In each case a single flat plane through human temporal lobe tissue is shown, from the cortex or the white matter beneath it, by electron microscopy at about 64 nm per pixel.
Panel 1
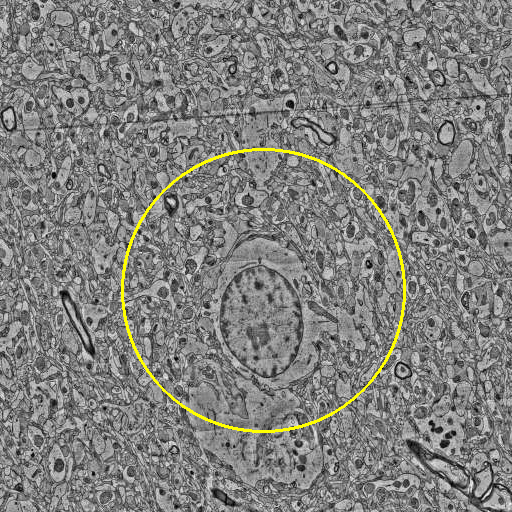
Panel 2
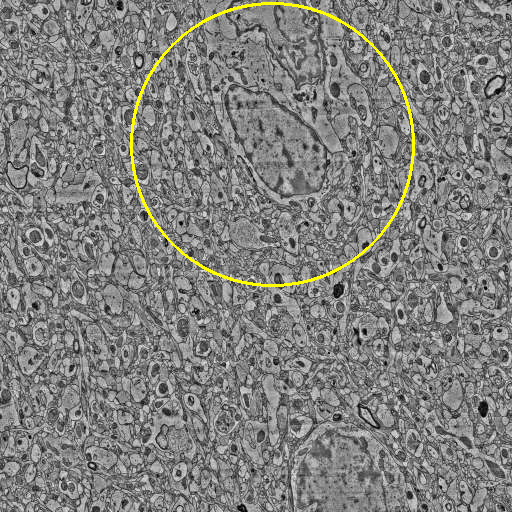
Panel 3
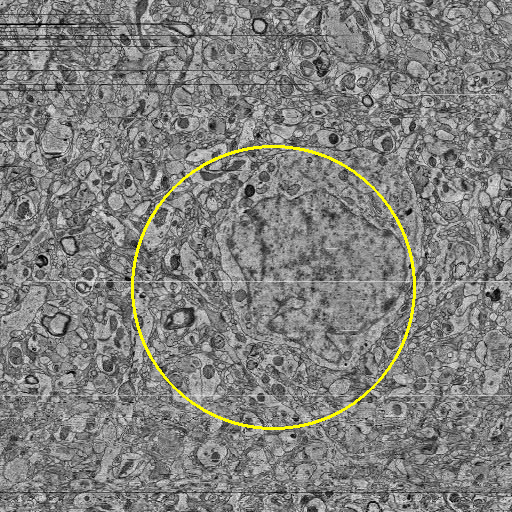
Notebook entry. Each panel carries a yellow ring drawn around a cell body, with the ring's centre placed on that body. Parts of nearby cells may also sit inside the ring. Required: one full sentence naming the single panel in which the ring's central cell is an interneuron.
Panel 3 is the single one with the sought cell at its ring's centre.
